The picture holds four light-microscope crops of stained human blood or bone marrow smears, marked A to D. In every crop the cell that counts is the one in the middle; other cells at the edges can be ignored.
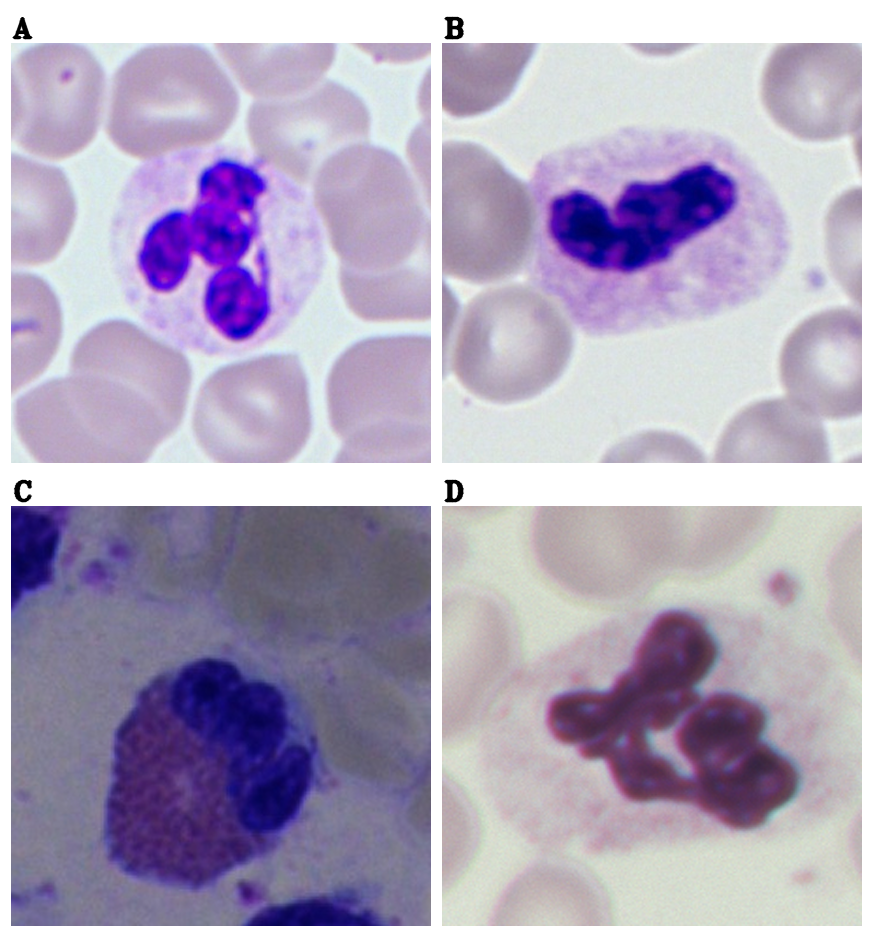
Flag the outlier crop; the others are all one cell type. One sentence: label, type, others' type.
In this set the other crops all show neutrophils, and crop C shows an eosinophil.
